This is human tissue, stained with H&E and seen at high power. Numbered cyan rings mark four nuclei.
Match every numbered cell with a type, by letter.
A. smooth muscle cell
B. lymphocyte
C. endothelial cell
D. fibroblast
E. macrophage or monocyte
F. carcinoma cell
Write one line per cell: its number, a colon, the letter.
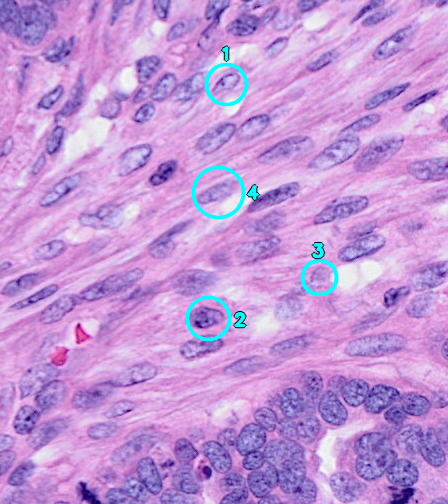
1: D
2: E
3: D
4: D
